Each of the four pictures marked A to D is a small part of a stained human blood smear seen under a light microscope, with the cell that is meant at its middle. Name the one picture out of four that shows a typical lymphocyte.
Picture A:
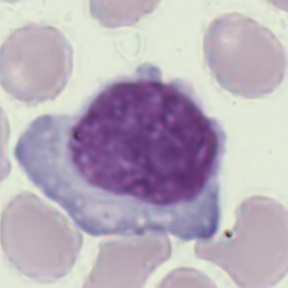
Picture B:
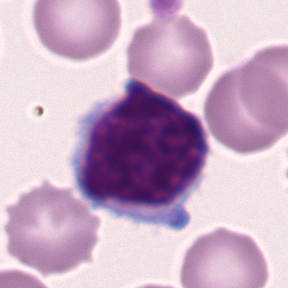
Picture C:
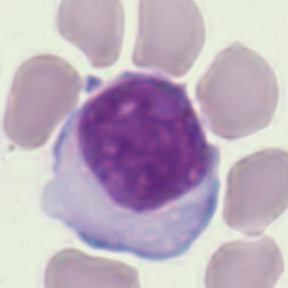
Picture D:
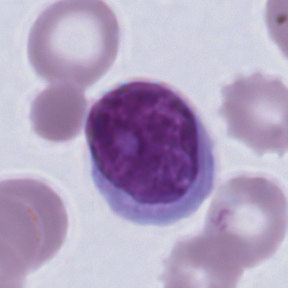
B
